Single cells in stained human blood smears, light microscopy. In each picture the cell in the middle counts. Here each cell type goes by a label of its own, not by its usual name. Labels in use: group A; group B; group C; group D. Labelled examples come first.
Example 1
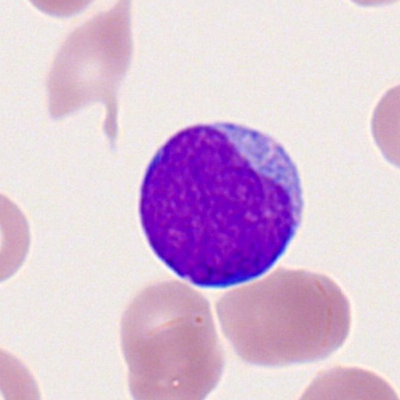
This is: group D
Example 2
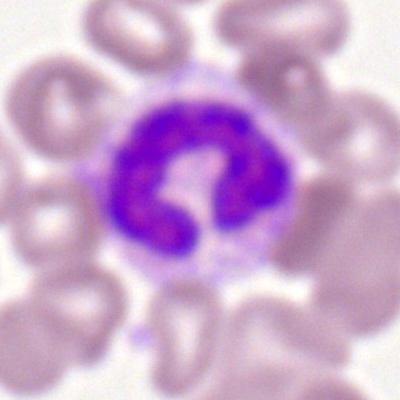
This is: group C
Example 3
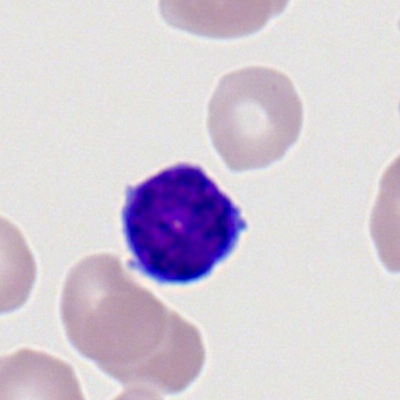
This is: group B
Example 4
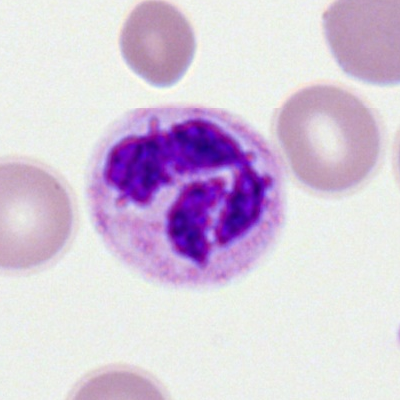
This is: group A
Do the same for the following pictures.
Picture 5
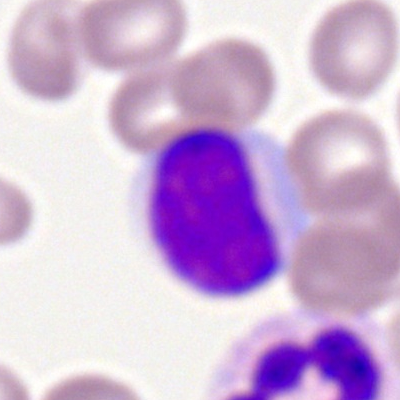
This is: group B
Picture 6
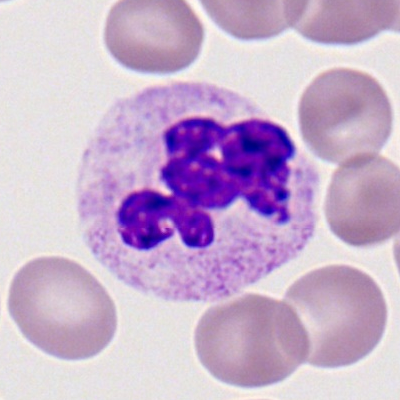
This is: group A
